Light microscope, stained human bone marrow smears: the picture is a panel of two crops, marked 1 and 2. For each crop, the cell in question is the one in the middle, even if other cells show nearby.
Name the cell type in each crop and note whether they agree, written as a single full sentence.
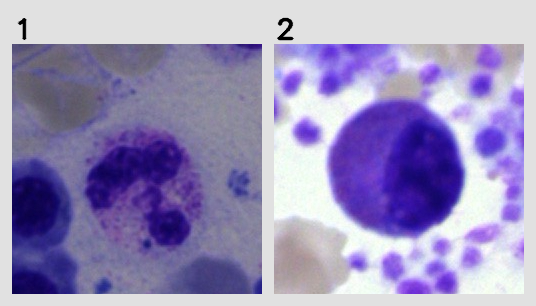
No, the cell centred in crop 1 is a segmented neutrophil, and that centred in crop 2 is an eosinophil.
